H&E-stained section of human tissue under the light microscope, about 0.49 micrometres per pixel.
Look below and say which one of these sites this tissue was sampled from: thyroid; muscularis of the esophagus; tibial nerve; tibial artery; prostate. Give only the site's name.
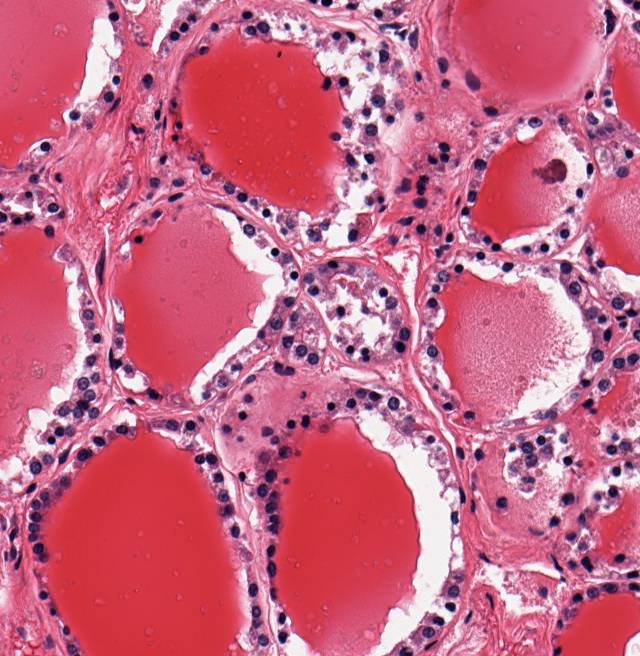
thyroid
